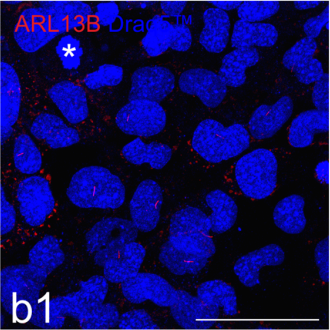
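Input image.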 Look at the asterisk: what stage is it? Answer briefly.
mitotic cells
